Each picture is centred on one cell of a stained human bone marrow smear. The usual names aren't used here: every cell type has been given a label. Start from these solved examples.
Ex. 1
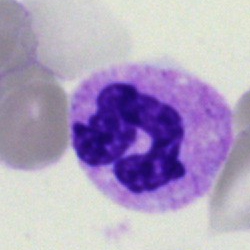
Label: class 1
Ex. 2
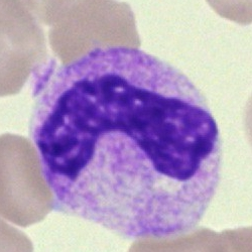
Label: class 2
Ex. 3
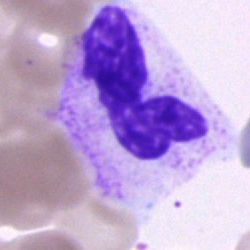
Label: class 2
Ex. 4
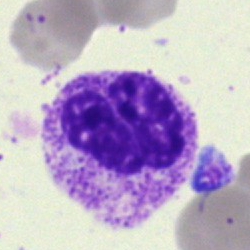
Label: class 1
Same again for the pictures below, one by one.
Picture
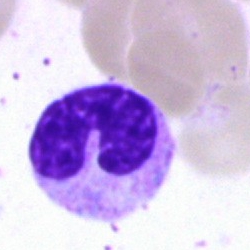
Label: class 2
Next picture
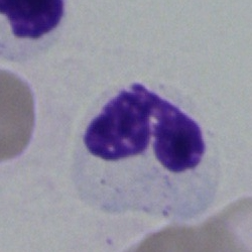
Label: class 1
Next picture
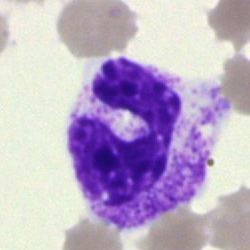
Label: class 1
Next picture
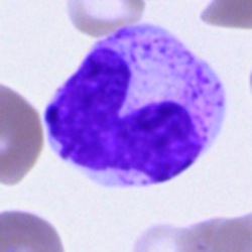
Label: class 2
